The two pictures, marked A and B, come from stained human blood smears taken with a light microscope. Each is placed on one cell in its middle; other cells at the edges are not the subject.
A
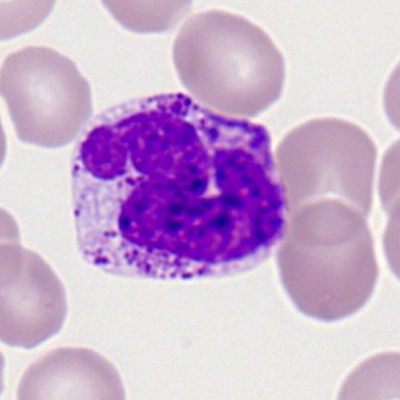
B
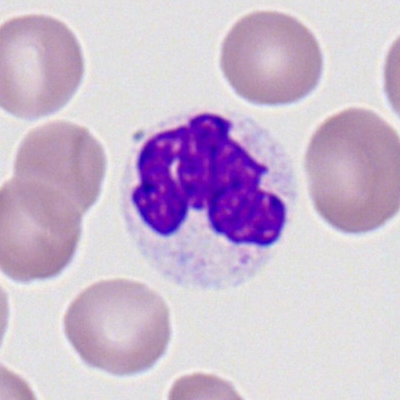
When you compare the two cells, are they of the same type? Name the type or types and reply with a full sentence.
No: a basophil sits in crop A, and a segmented neutrophil sits in crop B.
